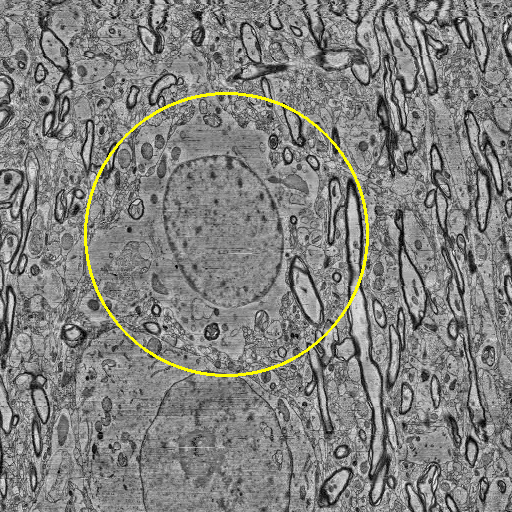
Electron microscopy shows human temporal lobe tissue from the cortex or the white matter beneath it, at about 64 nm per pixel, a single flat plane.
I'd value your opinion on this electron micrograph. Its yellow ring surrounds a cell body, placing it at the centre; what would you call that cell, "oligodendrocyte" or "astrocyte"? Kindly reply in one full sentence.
It is an astrocyte that sits centred within the yellow ring in this micrograph.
